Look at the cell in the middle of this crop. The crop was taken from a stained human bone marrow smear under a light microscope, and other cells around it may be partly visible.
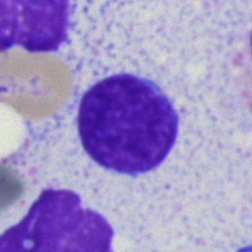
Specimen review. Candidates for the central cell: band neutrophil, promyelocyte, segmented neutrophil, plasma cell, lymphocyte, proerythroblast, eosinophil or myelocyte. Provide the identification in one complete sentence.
The cell at the middle of the frame should be recorded as a lymphocyte.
